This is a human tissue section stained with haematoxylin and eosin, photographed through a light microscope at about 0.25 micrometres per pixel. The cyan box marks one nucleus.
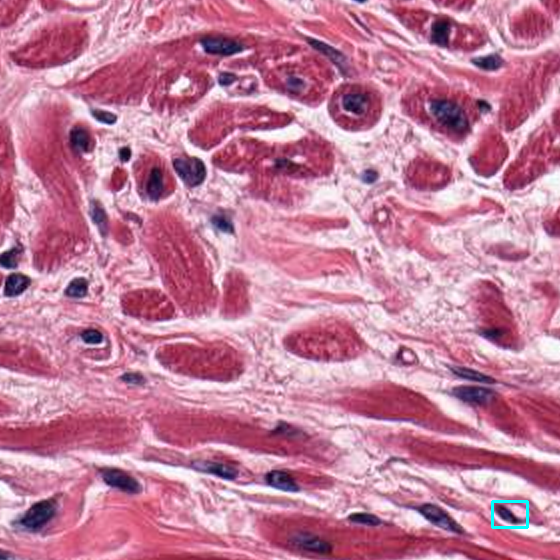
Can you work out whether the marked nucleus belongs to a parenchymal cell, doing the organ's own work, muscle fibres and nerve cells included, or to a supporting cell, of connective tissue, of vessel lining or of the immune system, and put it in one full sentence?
Belonging to a supporting cell is the nucleus that is marked.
